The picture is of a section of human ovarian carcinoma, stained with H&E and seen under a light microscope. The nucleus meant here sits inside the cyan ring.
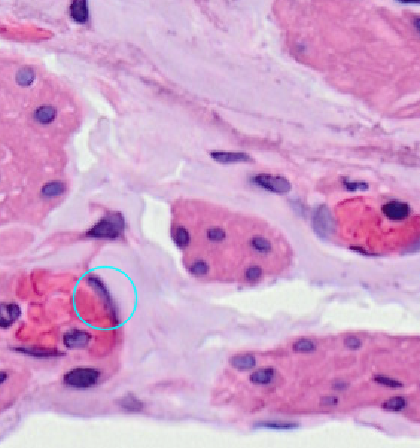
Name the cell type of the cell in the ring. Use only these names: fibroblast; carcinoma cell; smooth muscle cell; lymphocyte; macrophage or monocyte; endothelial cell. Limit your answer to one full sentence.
As for its identity, the cell in the ring is an endothelial cell.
